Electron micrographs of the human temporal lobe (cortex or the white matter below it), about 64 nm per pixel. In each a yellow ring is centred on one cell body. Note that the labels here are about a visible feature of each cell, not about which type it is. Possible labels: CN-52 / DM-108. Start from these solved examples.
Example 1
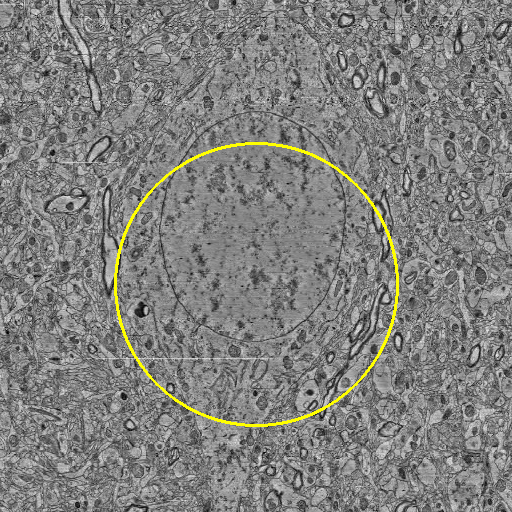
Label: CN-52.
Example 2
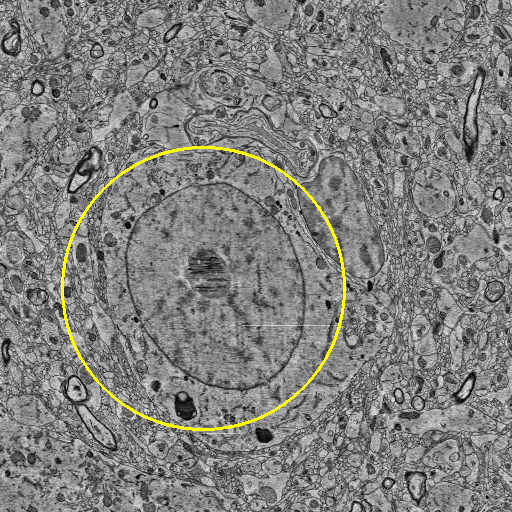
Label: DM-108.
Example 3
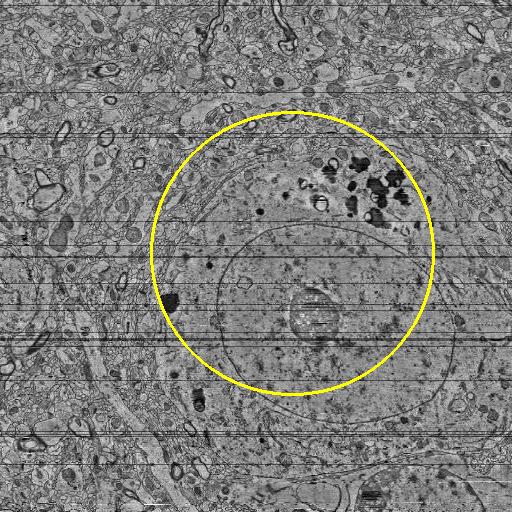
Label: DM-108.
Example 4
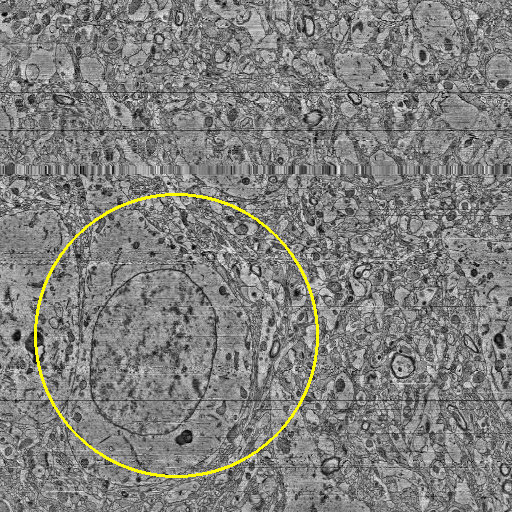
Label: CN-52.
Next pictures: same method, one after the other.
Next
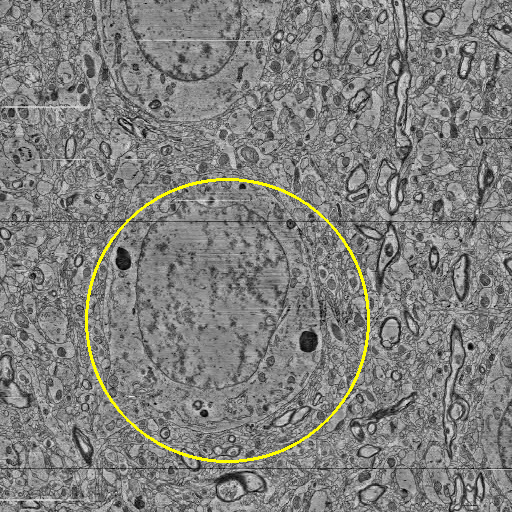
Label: CN-52.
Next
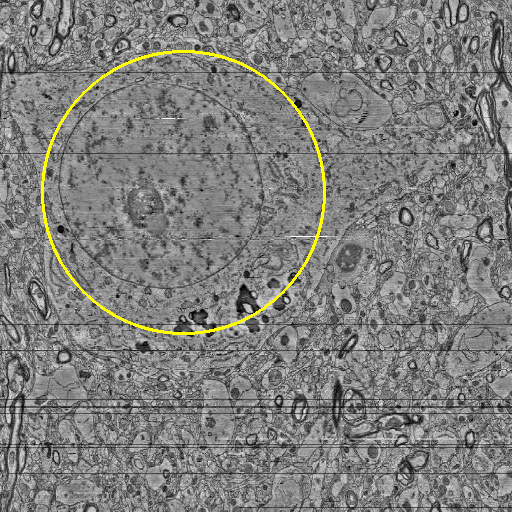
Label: DM-108.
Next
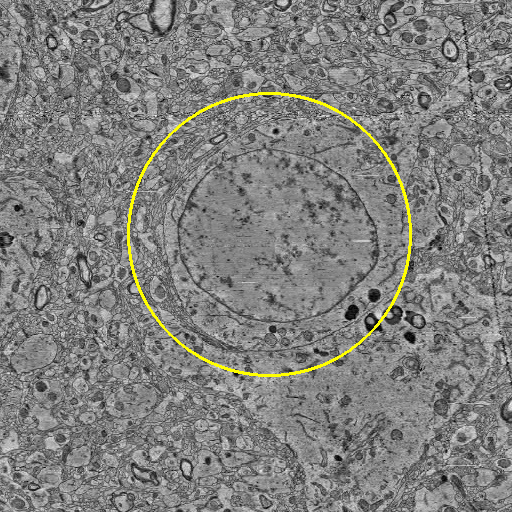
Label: CN-52.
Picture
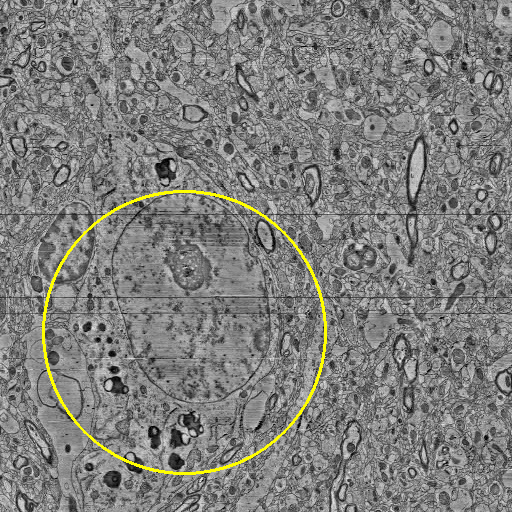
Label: DM-108.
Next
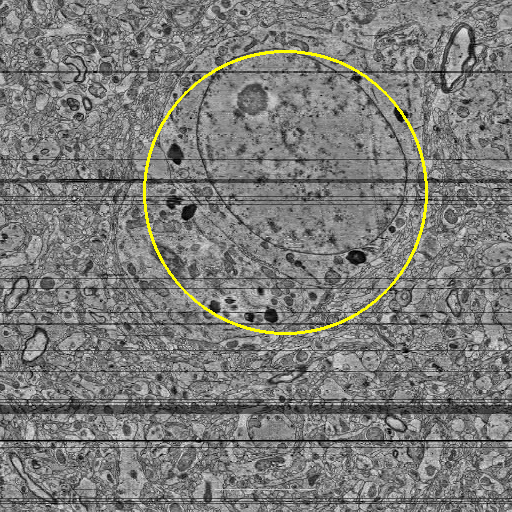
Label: DM-108.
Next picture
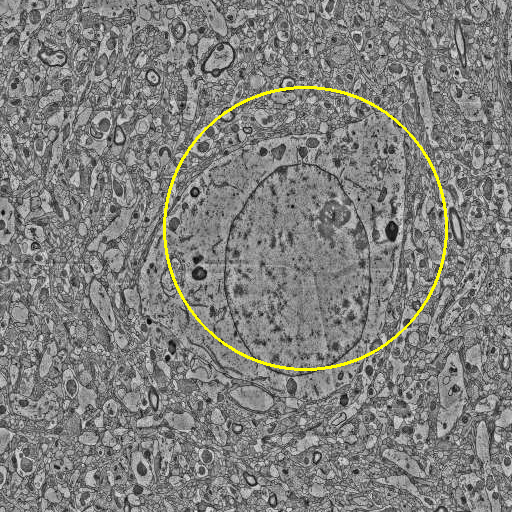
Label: DM-108.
